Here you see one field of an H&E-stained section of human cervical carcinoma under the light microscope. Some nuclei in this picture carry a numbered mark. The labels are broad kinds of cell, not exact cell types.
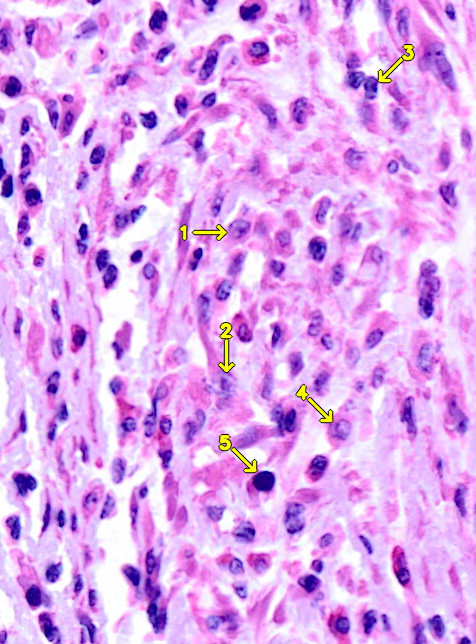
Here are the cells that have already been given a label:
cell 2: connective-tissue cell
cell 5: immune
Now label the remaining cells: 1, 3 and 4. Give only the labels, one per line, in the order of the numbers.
immune
immune
immune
